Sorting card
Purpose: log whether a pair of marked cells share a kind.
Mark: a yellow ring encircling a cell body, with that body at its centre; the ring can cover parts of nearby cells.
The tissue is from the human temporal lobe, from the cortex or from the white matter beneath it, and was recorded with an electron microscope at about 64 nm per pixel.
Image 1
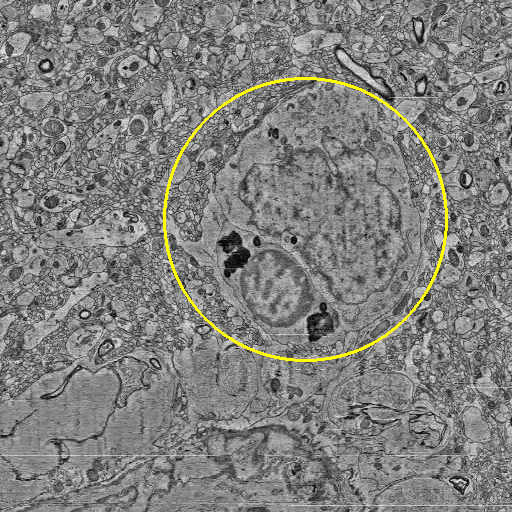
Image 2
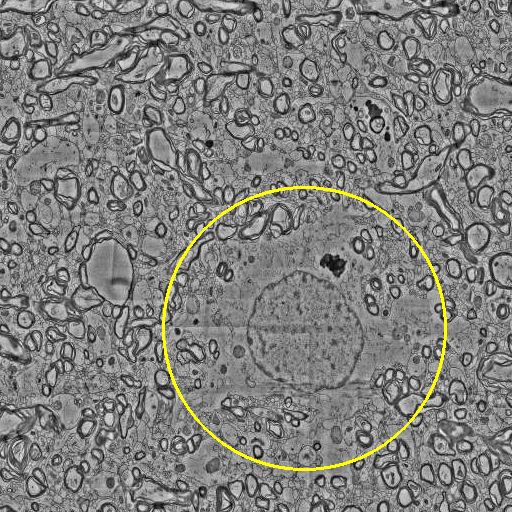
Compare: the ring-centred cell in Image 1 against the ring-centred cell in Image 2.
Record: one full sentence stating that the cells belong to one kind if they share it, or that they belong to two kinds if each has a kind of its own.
Across Images 1 and 2, the two ring-centred cells belong to two kinds.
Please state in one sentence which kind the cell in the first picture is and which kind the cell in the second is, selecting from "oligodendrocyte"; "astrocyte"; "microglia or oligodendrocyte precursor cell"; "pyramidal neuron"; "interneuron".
The first ringed cell is an interneuron, the second ringed cell an astrocyte.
